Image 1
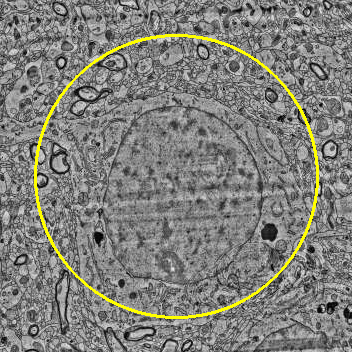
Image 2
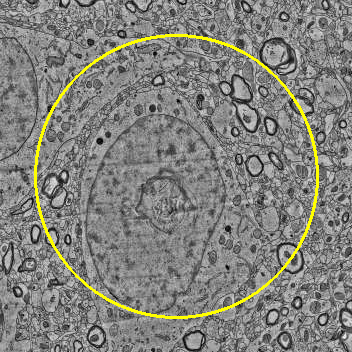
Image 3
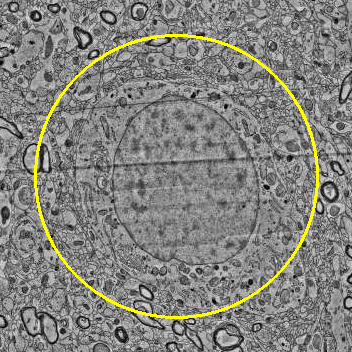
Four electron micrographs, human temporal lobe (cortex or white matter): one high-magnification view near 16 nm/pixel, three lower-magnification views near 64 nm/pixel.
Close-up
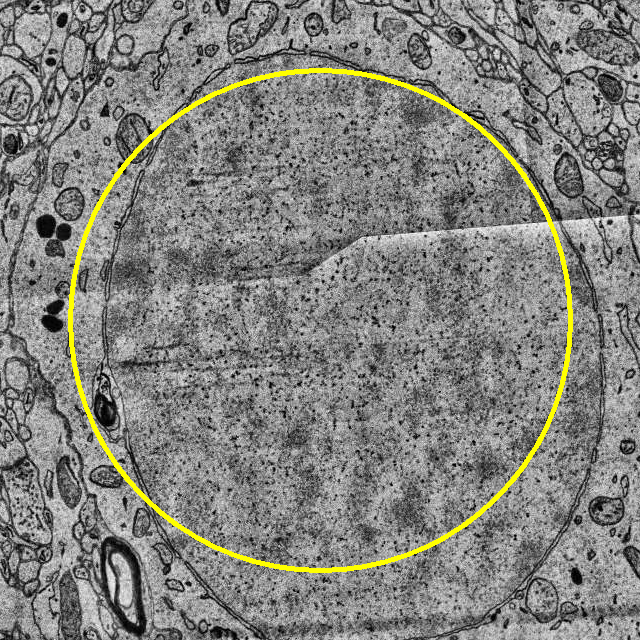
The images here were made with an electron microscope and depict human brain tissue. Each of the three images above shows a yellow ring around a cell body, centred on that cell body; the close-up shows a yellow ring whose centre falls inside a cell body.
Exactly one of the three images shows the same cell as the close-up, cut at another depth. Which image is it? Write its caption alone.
Image 3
